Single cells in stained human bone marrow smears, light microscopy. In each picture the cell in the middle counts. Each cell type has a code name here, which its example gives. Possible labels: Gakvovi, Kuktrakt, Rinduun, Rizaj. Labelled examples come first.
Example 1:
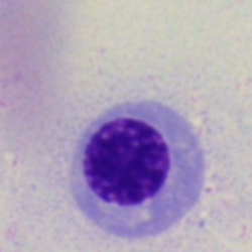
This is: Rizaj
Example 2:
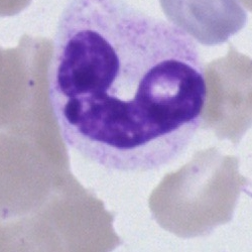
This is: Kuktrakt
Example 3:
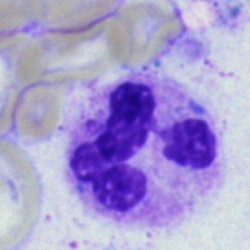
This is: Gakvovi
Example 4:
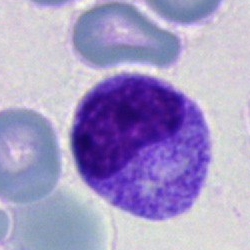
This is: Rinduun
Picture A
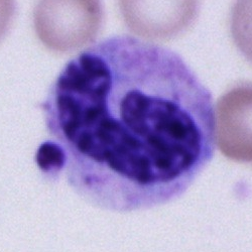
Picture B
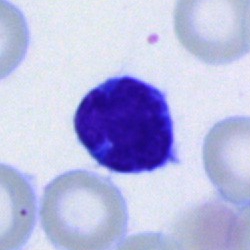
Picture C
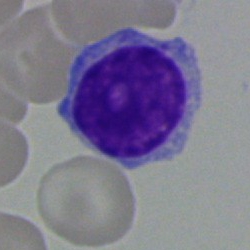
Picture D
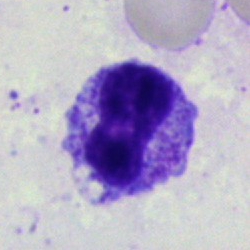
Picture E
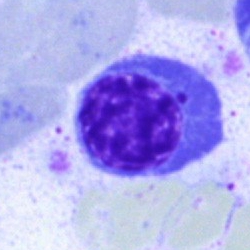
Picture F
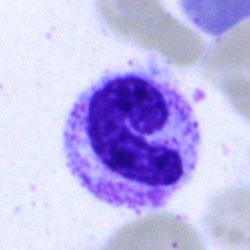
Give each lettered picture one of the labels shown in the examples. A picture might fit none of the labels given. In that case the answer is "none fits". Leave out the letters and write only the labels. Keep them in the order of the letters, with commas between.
Kuktrakt, none fits, none fits, Rinduun, Rizaj, Kuktrakt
